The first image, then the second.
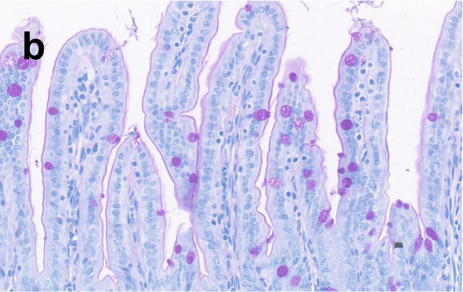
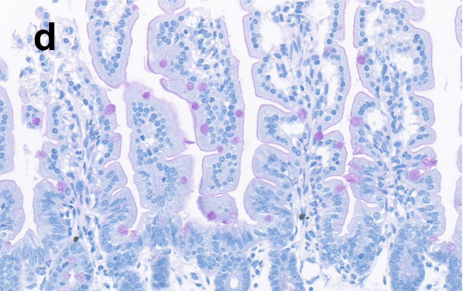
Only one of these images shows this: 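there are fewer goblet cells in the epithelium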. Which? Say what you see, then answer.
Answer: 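Second image: only a few pale pink rounded cells are scattered along the villi.
The second image.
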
